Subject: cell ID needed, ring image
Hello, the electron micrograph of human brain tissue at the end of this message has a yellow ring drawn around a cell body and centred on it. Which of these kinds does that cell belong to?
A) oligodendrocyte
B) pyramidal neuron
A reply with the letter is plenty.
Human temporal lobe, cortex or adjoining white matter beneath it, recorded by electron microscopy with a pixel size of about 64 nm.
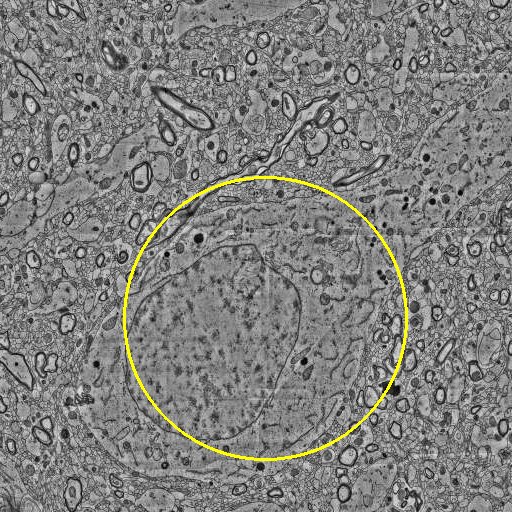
B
